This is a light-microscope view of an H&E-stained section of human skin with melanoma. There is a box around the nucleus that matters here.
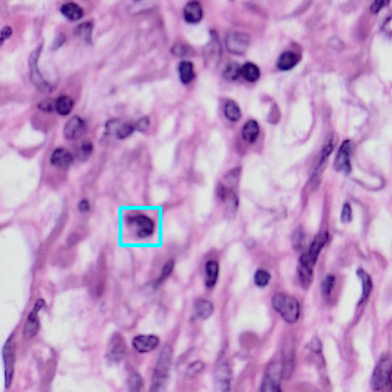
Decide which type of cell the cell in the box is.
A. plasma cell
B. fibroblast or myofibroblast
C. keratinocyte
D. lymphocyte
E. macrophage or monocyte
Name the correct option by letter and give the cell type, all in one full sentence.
Exactly as option A gives it, the cell in the box is a plasma cell.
